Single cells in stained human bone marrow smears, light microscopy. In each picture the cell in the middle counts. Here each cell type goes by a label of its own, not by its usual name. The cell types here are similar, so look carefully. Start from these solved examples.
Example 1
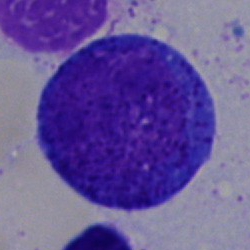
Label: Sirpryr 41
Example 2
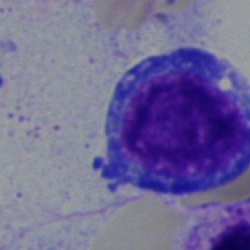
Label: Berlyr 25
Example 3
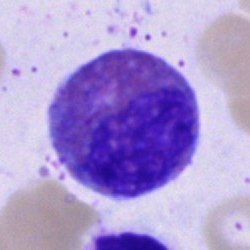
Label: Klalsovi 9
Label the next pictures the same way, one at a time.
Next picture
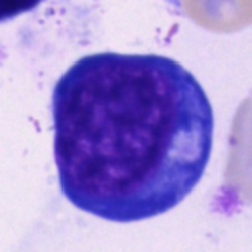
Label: Berlyr 25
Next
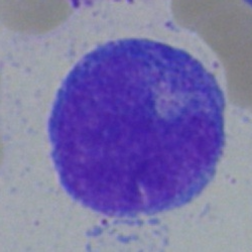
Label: Sirpryr 41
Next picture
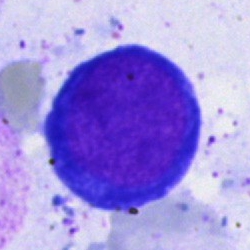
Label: Berlyr 25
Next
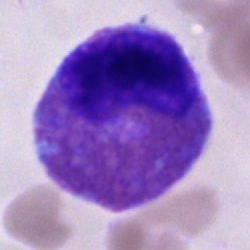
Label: Klalsovi 9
